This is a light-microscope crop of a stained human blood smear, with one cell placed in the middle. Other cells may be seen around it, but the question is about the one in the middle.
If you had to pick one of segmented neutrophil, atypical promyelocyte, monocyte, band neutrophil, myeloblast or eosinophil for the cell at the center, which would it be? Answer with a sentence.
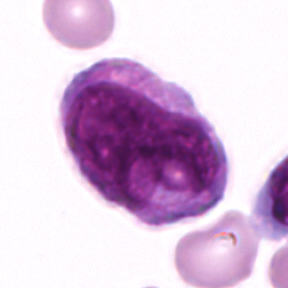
The crop's centre is taken up by an atypical promyelocyte.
